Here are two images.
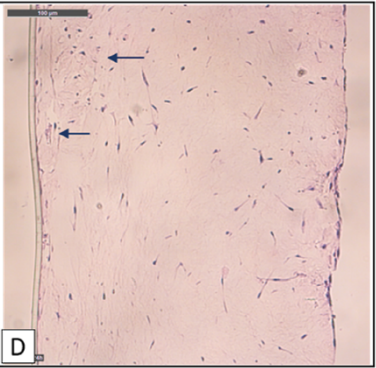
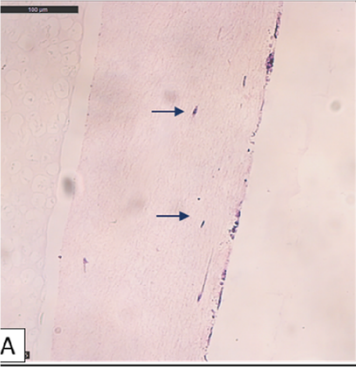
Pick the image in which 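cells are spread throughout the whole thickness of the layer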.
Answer: The first image.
